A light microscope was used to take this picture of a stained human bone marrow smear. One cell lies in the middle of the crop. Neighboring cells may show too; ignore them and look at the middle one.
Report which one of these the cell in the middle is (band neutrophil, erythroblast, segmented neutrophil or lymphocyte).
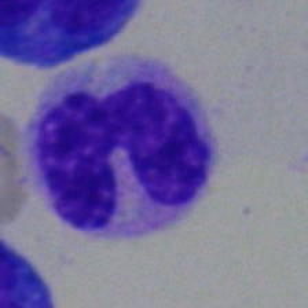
band neutrophil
